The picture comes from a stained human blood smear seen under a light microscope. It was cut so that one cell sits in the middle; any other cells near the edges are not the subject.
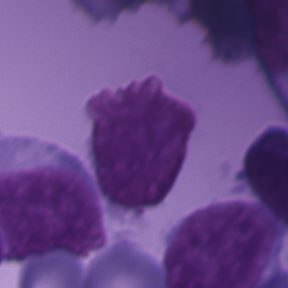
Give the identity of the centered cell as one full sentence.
The cell marked by its central position in the crop is a smudge cell.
